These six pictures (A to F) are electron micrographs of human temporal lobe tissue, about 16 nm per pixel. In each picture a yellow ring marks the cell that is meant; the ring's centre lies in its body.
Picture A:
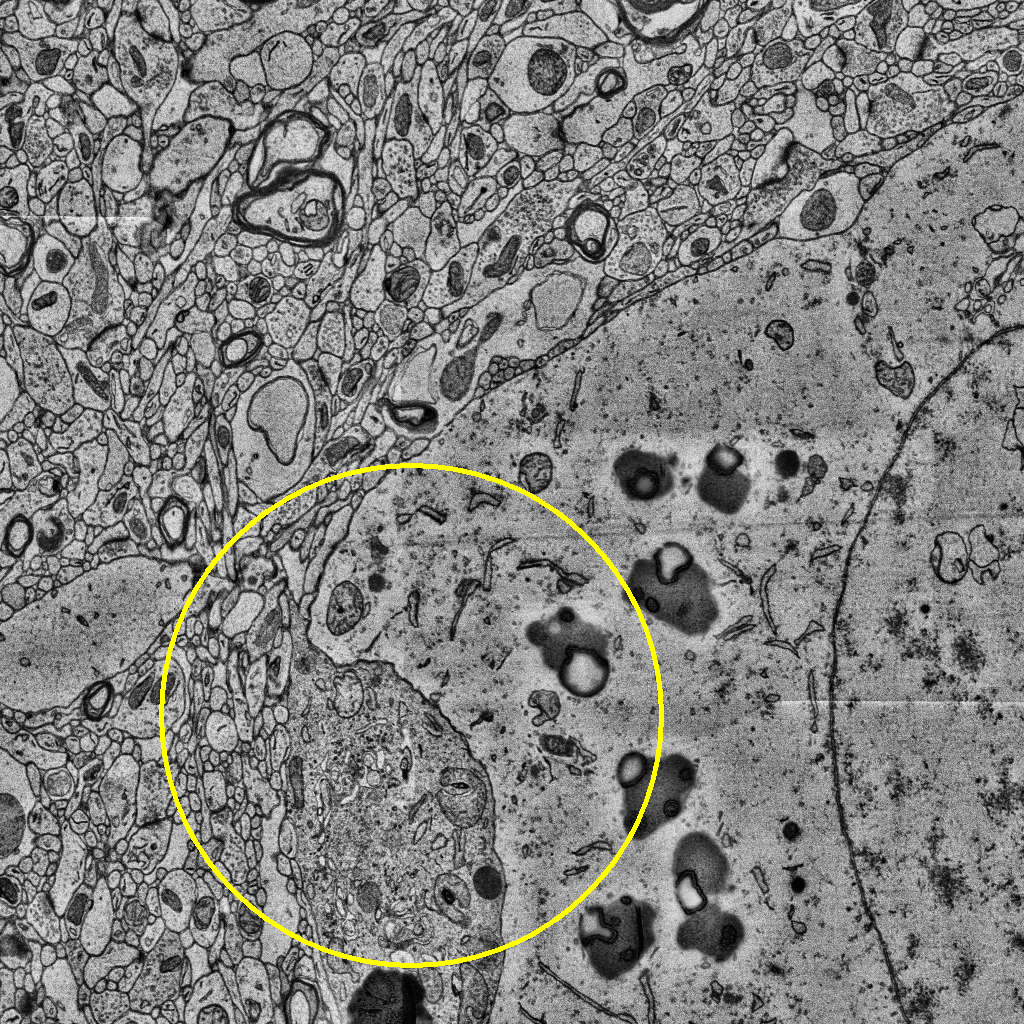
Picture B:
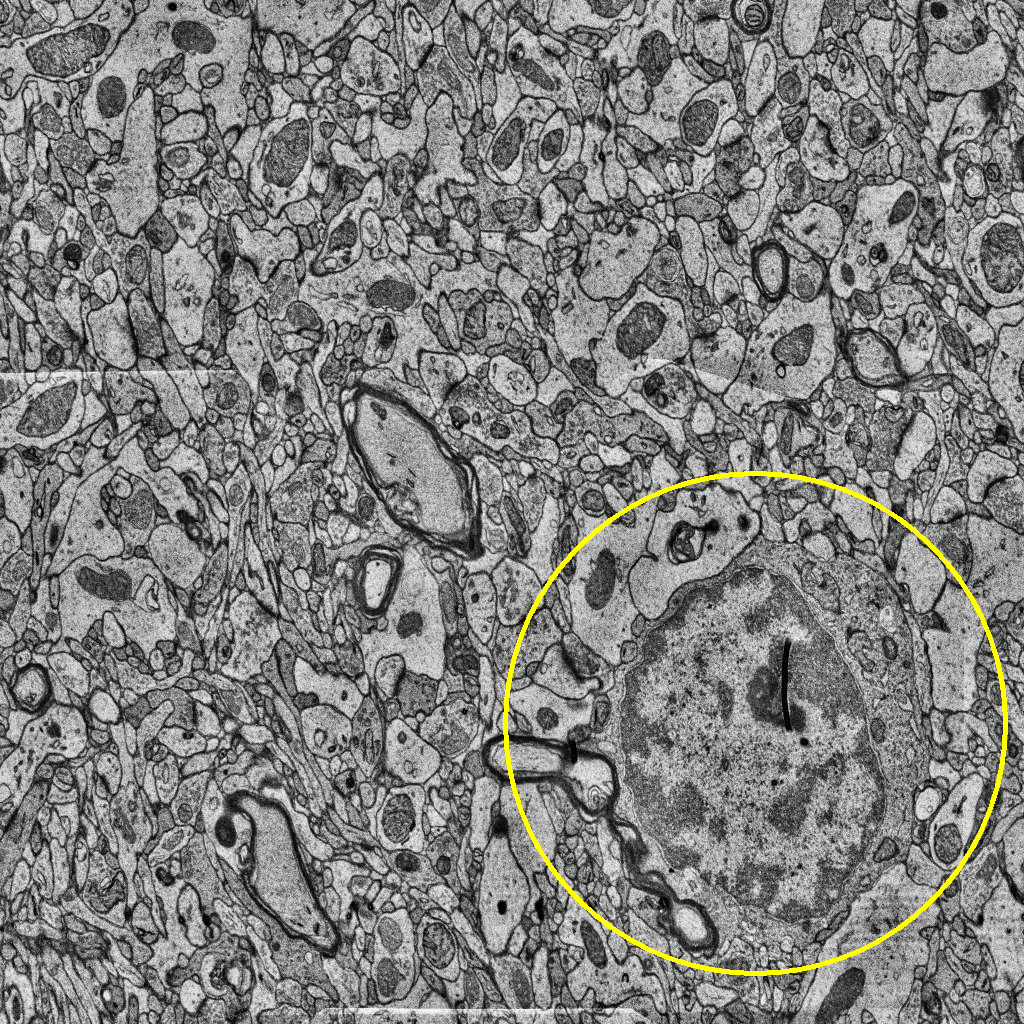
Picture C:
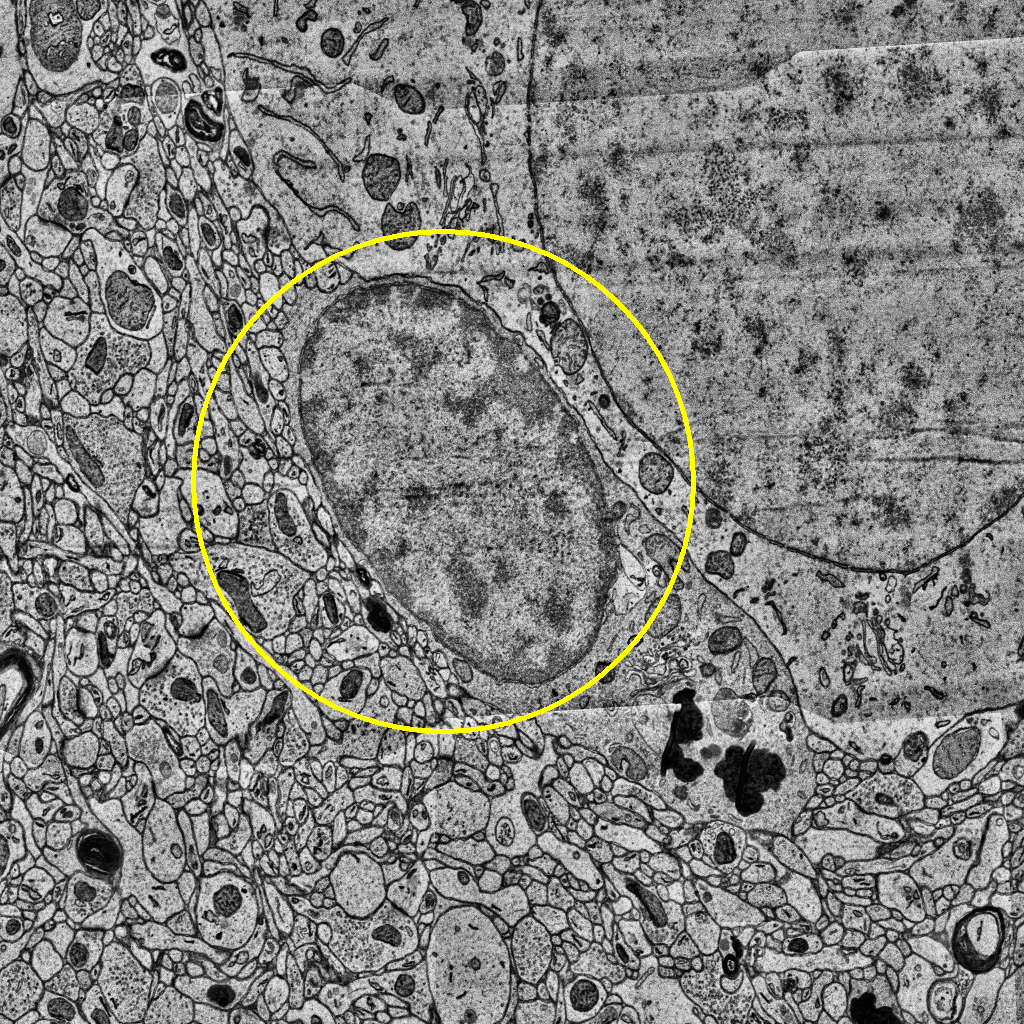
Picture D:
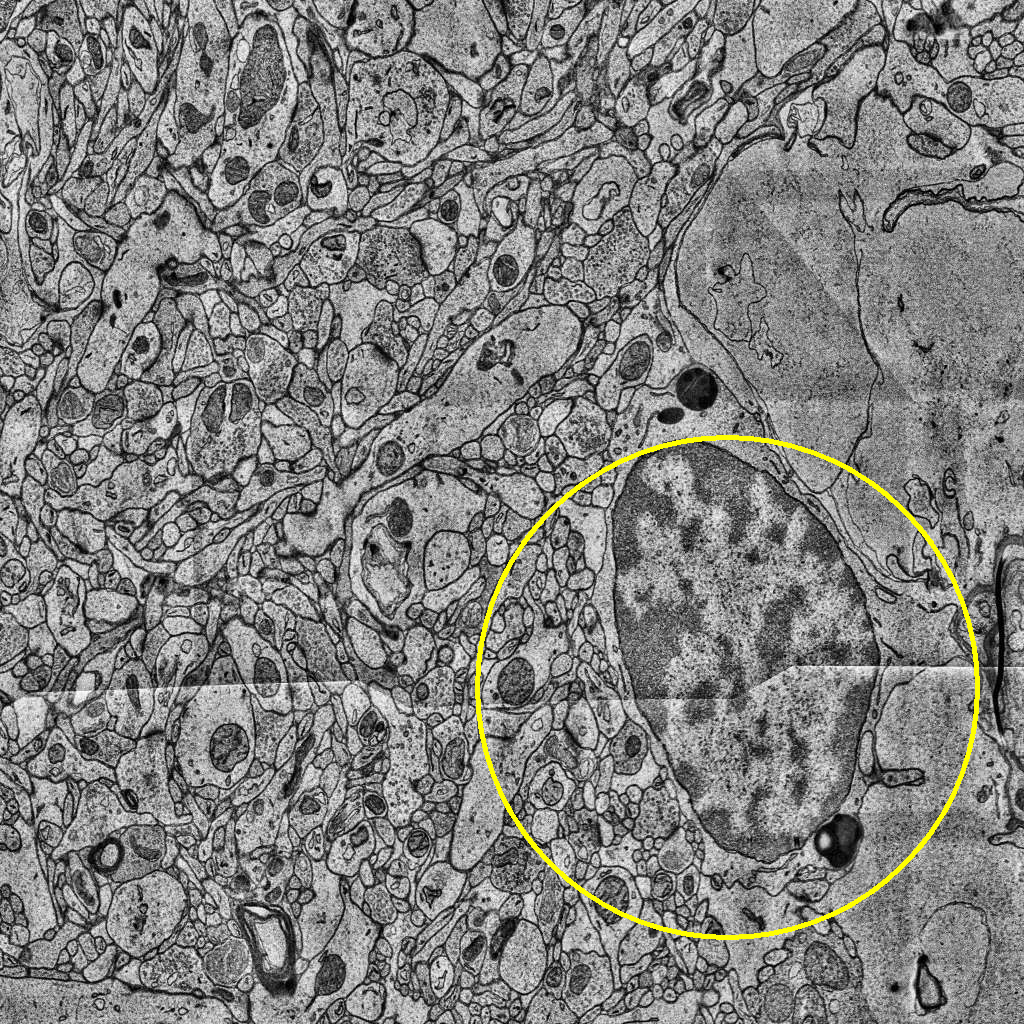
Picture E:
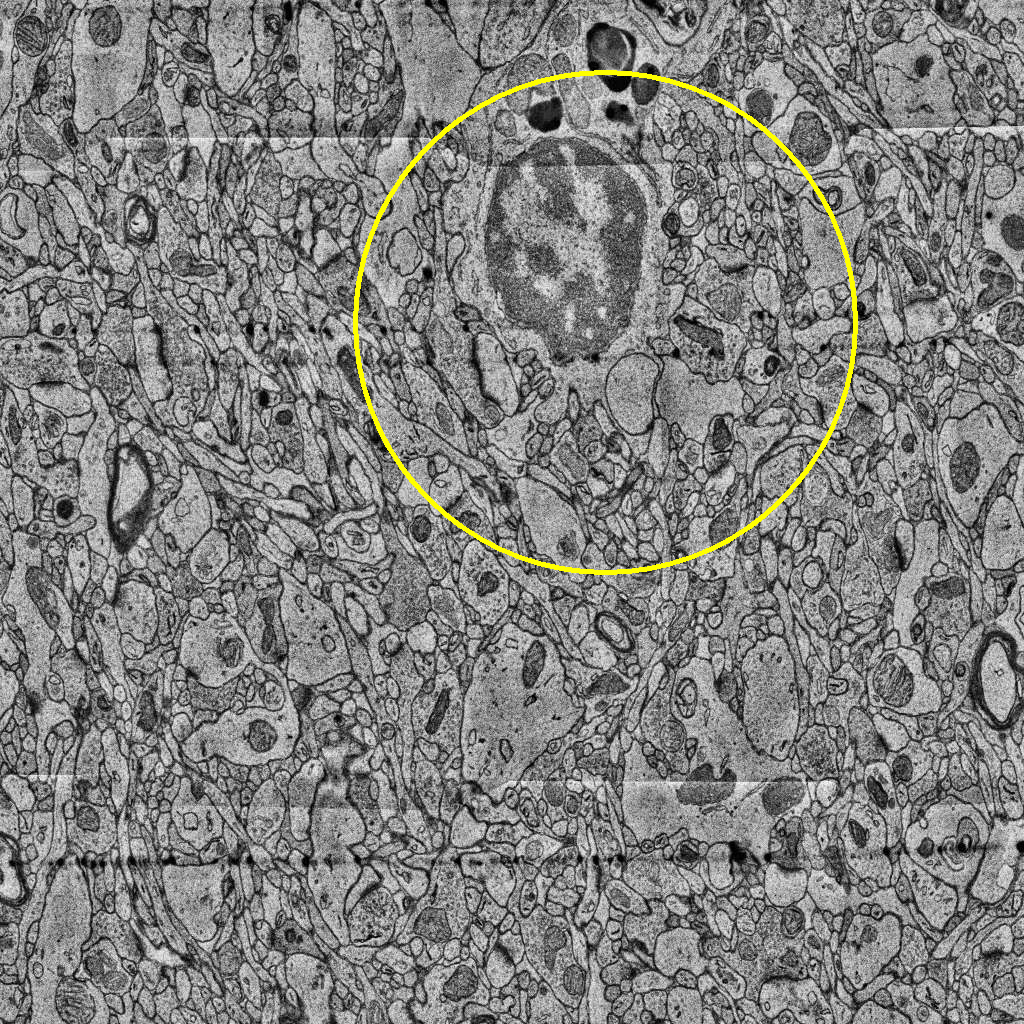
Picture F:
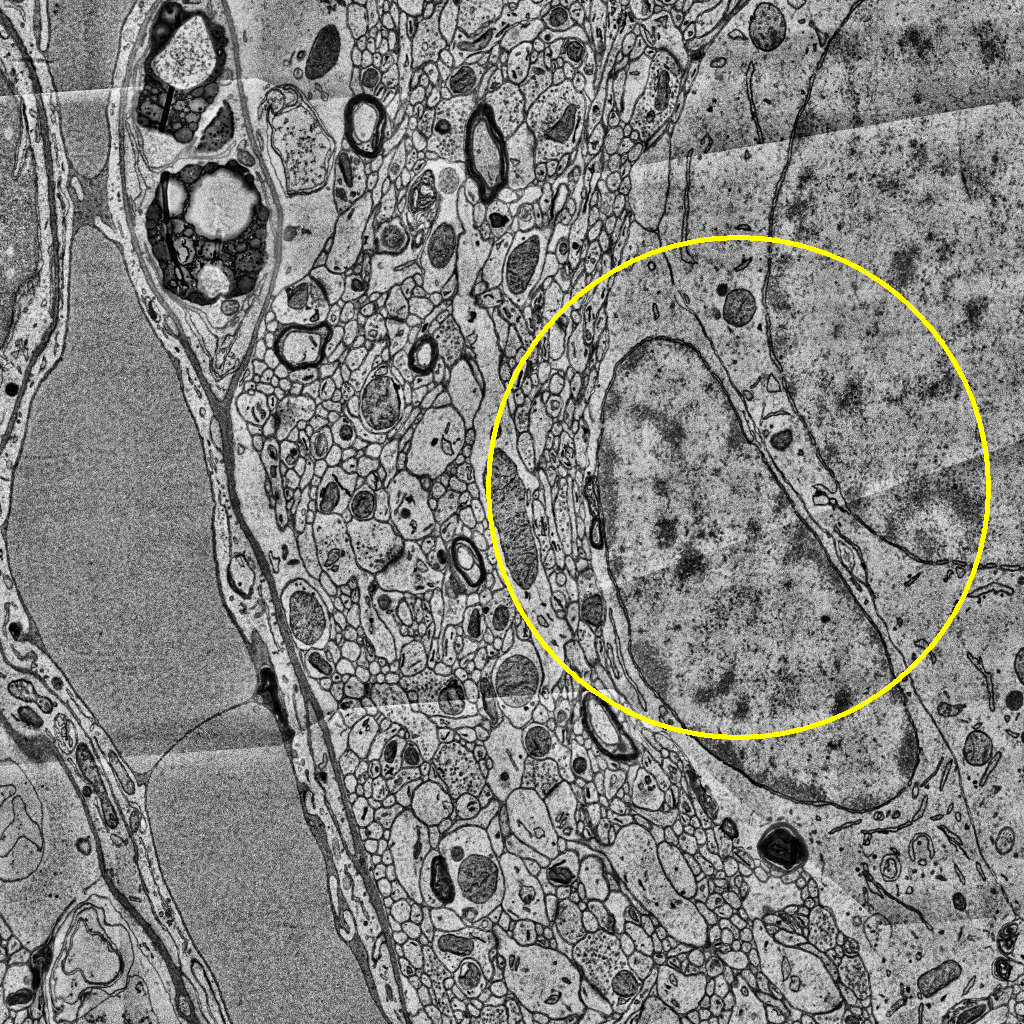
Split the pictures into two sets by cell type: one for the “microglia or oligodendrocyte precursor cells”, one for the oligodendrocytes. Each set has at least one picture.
Pictures D, E and F show “microglia or oligodendrocyte precursor cells”; pictures A, B and C show oligodendrocytes.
